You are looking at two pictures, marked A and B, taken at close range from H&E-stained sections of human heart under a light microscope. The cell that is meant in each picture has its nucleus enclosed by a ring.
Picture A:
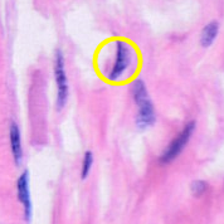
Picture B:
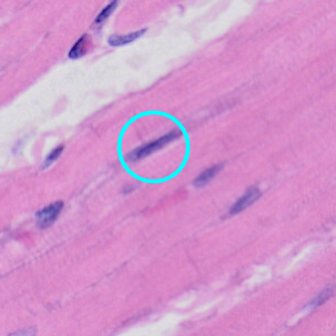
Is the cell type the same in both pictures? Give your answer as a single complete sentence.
No, they differ: the cell is a fibroblast in picture A and an endothelial cell in picture B.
